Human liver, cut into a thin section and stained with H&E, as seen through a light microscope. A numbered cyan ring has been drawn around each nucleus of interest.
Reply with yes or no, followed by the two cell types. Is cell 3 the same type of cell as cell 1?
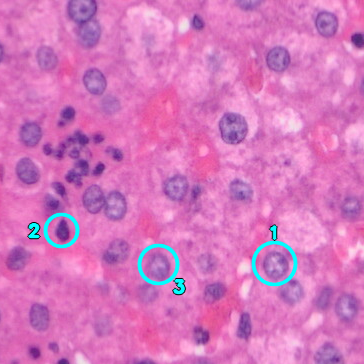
Yes, just like cell 3, cell 1 is one of the hepatocytes.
